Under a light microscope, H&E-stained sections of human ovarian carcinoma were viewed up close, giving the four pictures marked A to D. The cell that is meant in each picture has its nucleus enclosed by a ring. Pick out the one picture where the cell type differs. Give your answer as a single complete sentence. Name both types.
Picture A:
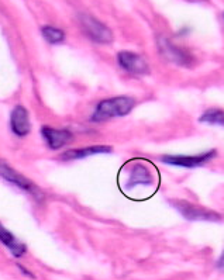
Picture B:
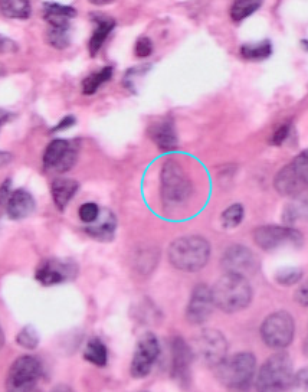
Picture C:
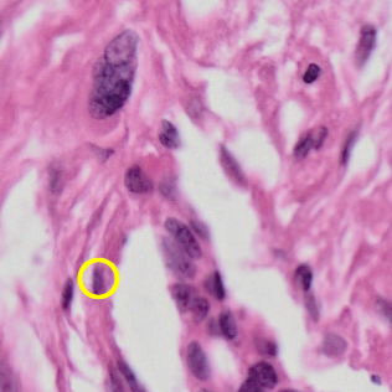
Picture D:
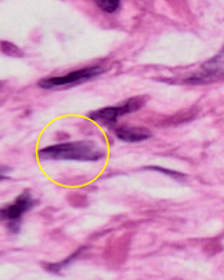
The different one is picture B; it shows an endothelial cell, whereas all the others show fibroblasts.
